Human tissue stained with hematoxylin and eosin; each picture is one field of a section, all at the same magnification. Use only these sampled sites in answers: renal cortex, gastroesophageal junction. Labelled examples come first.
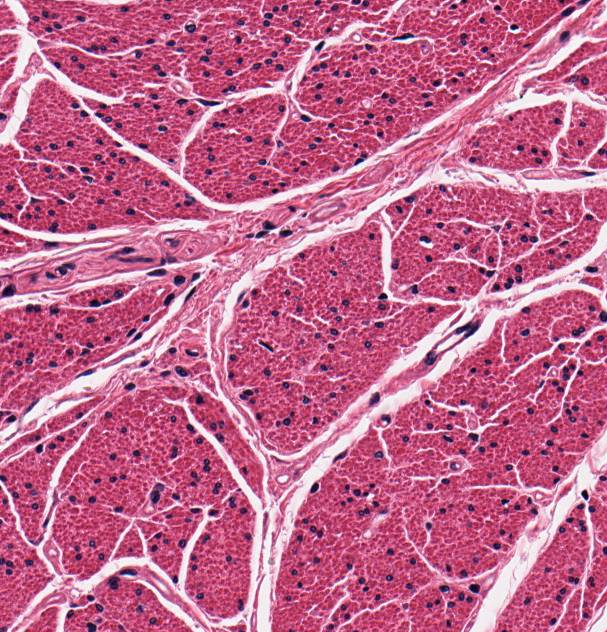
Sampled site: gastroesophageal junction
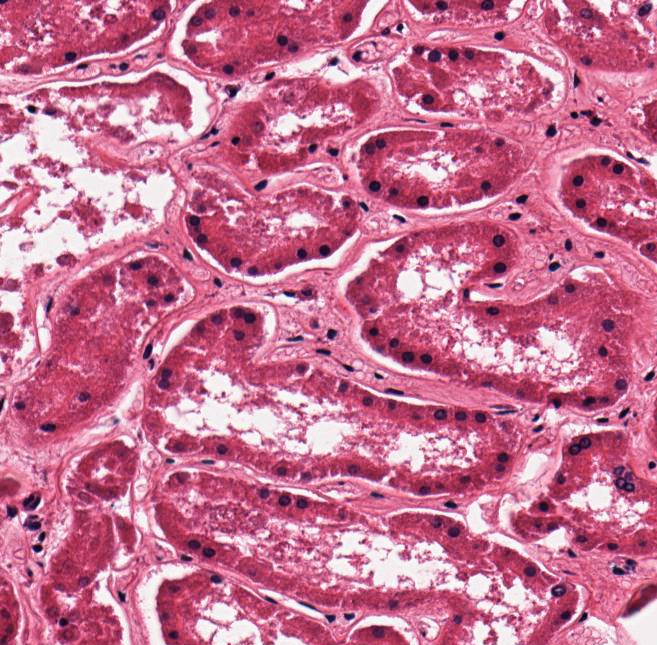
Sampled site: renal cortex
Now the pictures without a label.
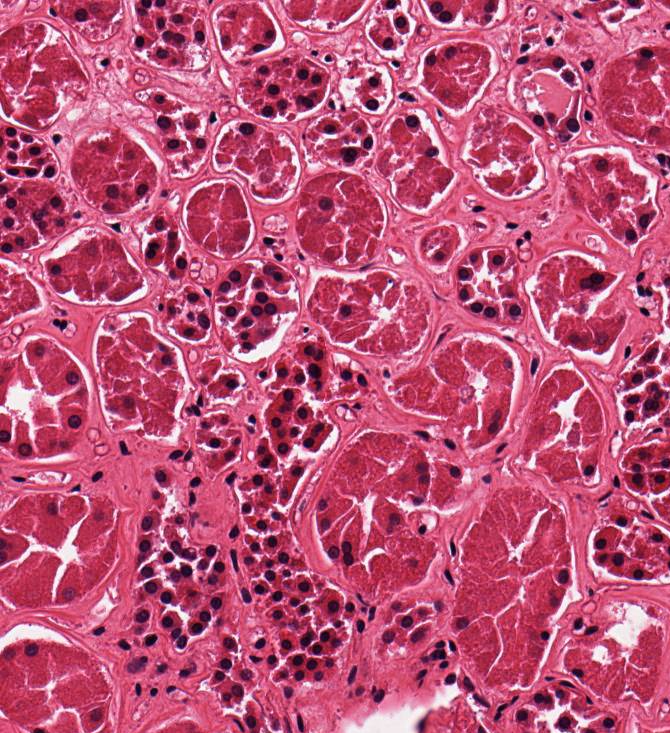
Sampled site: renal cortex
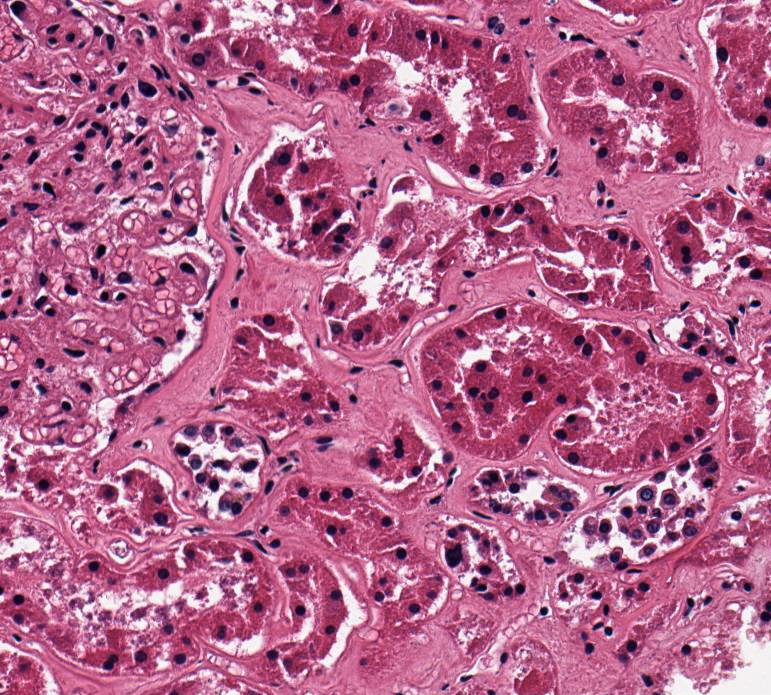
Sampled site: renal cortex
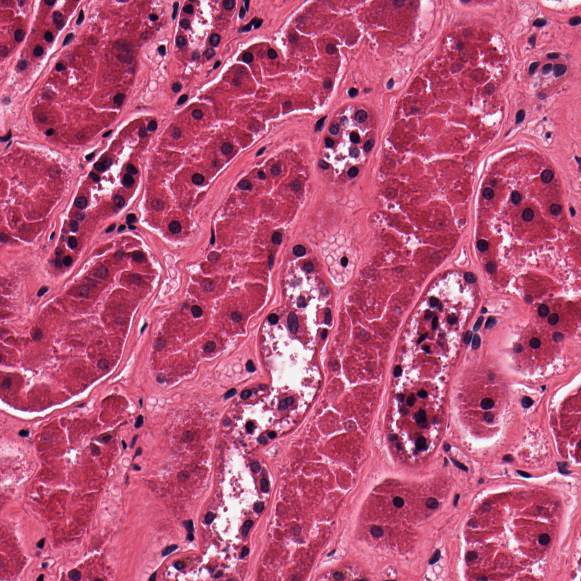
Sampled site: renal cortex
